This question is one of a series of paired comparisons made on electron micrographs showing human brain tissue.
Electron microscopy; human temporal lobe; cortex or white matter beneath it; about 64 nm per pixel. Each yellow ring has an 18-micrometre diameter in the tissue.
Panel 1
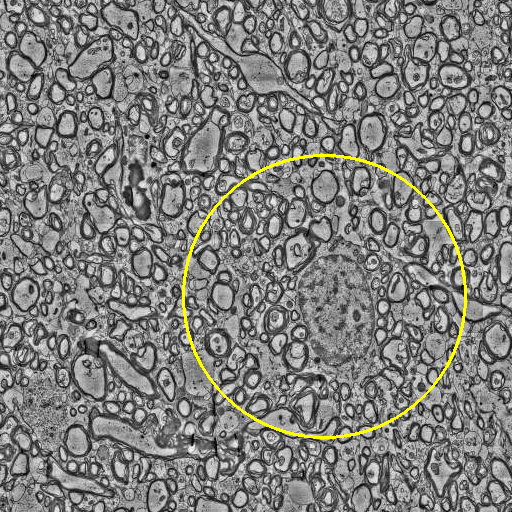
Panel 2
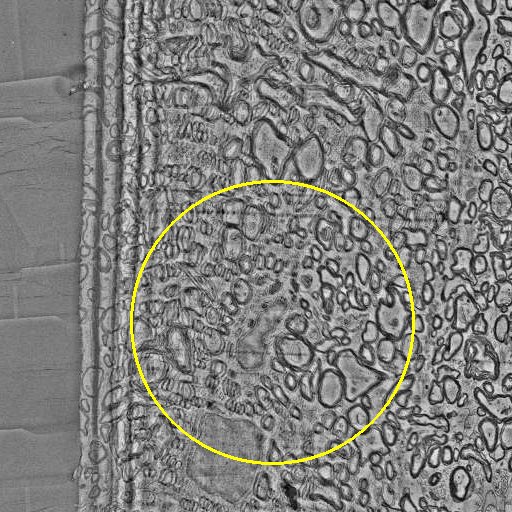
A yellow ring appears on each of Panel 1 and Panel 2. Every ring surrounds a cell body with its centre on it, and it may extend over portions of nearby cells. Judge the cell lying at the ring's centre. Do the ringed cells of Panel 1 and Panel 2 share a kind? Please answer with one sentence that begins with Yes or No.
No, the ring-centre cell in Panel 1 and the one in Panel 2 are of two kinds.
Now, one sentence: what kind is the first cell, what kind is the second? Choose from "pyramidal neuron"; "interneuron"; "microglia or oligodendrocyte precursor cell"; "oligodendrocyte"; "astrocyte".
The first picture has an oligodendrocyte at its ring centre, and the second has a microglial cell or oligodendrocyte precursor cell.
